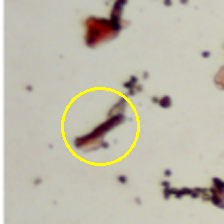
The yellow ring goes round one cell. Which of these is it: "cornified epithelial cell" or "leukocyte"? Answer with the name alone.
cornified epithelial cell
